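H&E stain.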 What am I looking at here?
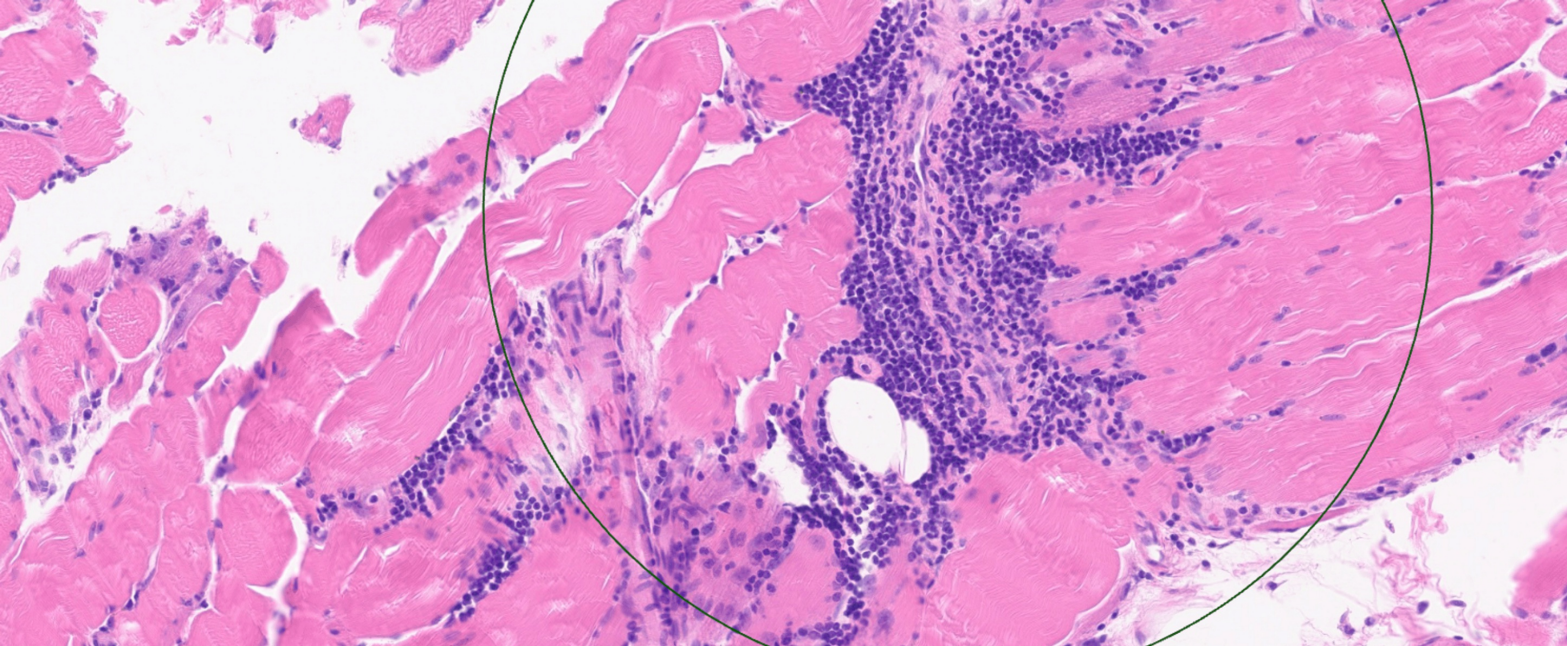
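This is skeletal muscle in which dense inflammation by lymphocytes lies among the muscle fibres. The fibres are large, bright pink and elongated, some cut lengthwise and others across as rounded profiles, with flattened nuclei at their edges. Thin pale connective tissue runs between fibre bundles, and no organised clusters of large pale cells are seen.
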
